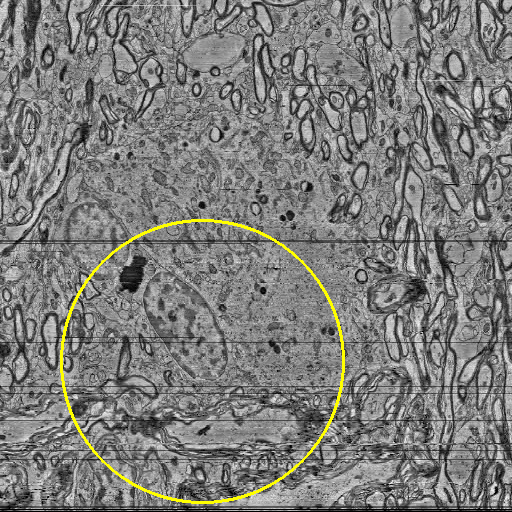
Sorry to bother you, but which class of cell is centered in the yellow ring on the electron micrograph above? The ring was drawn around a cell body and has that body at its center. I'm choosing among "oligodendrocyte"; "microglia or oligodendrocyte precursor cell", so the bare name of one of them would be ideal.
microglia or oligodendrocyte precursor cell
